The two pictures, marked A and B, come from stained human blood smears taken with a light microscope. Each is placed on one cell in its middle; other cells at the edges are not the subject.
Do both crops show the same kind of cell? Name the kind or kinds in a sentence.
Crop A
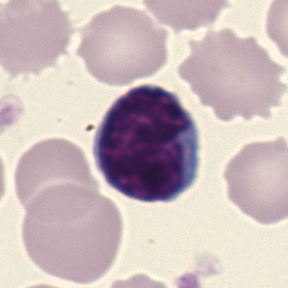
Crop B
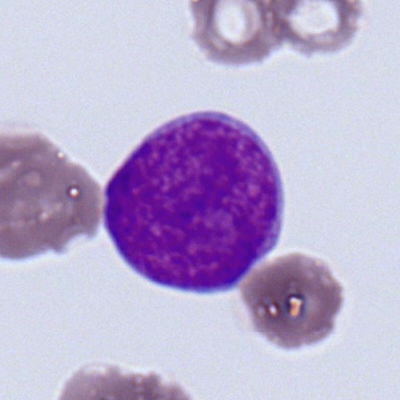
No, crop A and crop B contain, respectively, a lymphocyte and a blast.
